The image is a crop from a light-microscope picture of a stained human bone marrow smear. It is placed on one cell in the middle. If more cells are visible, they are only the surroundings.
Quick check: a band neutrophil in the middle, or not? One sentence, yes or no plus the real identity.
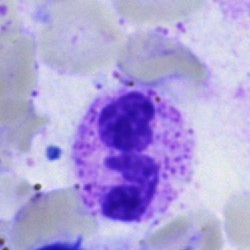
No, the cell positioned in the middle is a segmented neutrophil, not a band neutrophil.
